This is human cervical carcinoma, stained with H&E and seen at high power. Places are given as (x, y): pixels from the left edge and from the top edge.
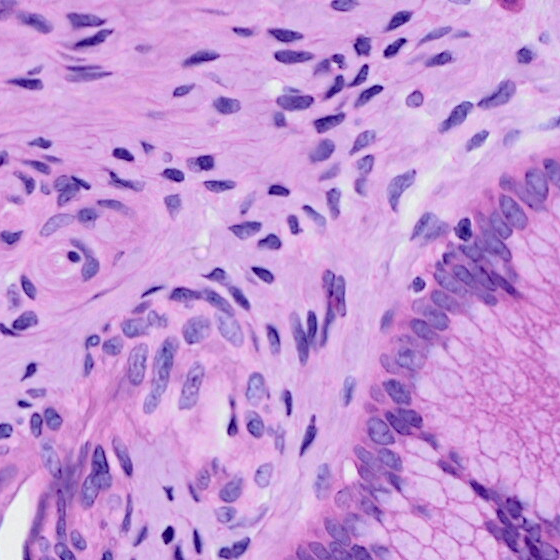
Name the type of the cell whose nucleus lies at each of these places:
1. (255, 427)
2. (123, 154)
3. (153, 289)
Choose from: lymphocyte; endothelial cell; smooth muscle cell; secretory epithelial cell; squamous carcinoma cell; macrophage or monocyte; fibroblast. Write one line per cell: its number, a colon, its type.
1: smooth muscle cell
2: fibroblast
3: fibroblast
